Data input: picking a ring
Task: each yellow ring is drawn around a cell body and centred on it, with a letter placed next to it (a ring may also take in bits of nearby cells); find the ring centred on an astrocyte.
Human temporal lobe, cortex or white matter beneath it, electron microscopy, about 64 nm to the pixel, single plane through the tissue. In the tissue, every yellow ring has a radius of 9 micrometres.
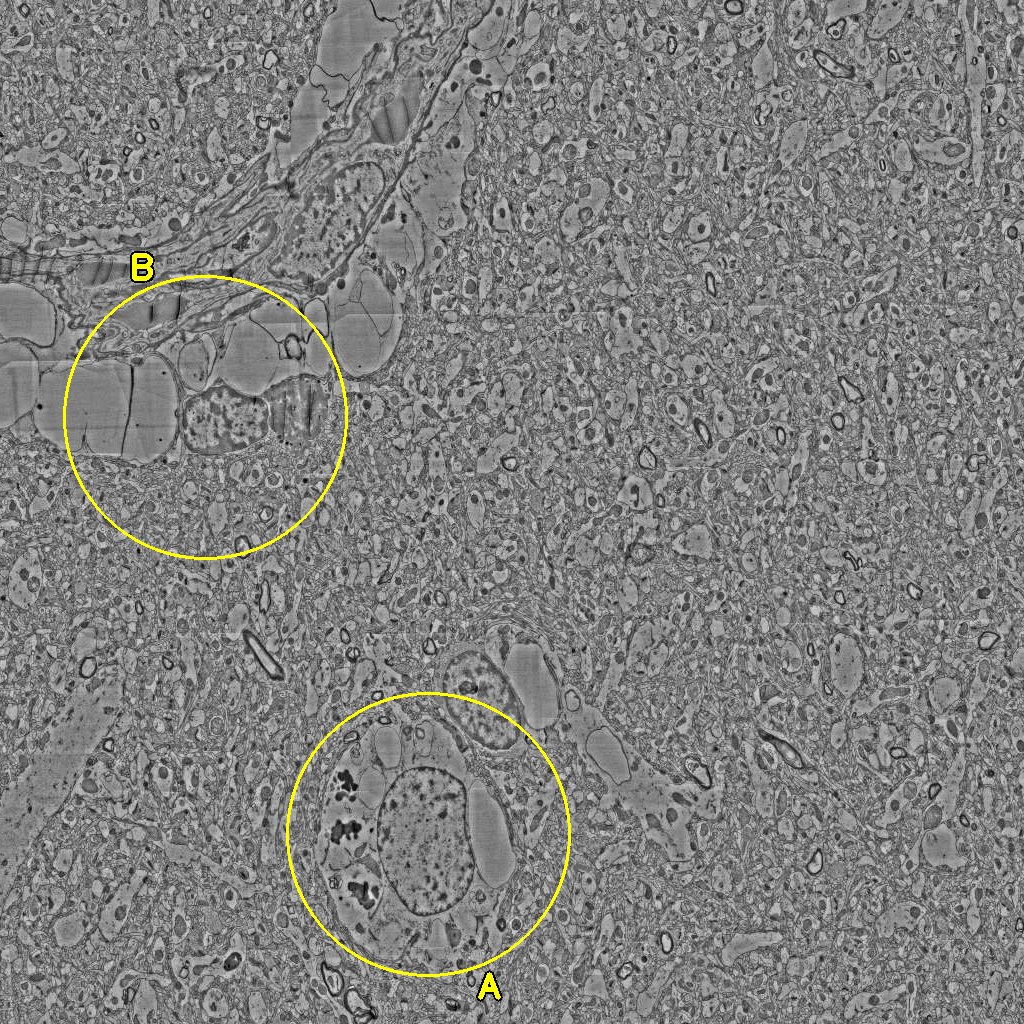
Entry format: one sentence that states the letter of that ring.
In the picture, the cell asked for sits at the centre of ring A.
